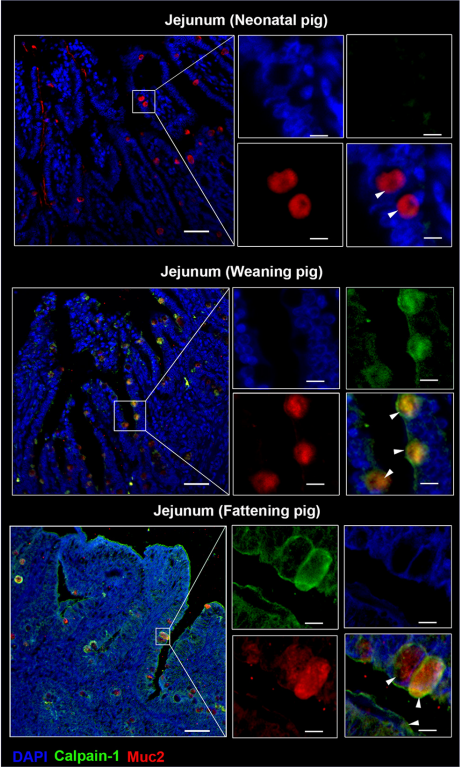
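Three views of intestinal mucosa show villi and crypts lined by densely packed blue nuclei, with scattered round cells filled with red material lying singly in the epithelium. In the lower two views these round cells also show green, giving a yellow-orange mix, and a green band runs along the epithelial surface in the bottom view. The round secretory cells are goblet cells and the surface band is the mucus layer.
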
